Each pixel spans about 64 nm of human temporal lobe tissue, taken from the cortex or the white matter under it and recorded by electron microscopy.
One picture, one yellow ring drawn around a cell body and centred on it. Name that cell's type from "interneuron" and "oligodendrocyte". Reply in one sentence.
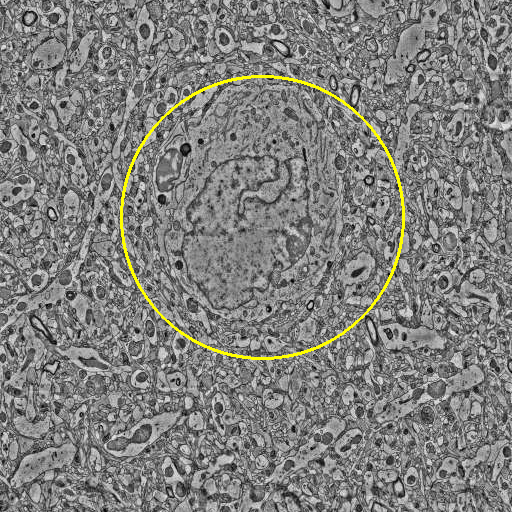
Centred in the ring is an interneuron.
